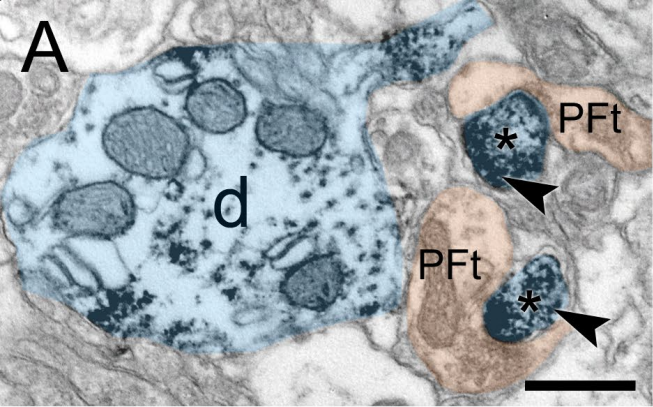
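This electron micrograph of cerebellar cortex shows a large Purkinje-cell dendrite profile beside two small dendritic spines, each contacted by a parallel fiber terminal. The dendrite contains several mitochondria and scattered dark clumps of reaction product in its cytoplasm. The orange-tinted terminals wrap partly around the spines and contain small vesicles.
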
